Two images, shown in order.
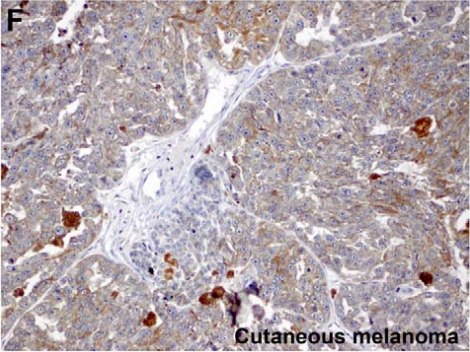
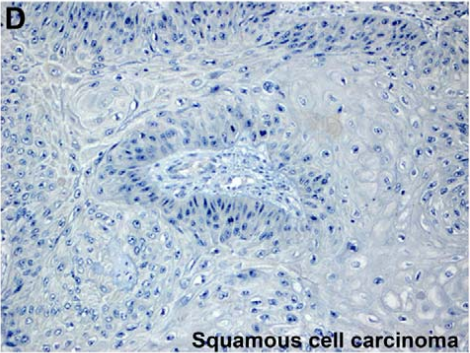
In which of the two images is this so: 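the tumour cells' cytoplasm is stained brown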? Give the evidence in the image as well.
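First image: tumour cells show diffuse light-brown cytoplasm across the field. Second image: tumour cells have pale, unstained cytoplasm with only blue nuclei.
Hence: the first image.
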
